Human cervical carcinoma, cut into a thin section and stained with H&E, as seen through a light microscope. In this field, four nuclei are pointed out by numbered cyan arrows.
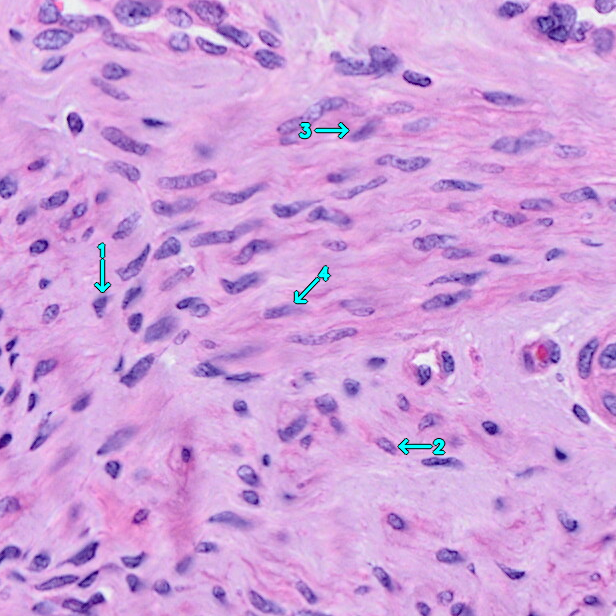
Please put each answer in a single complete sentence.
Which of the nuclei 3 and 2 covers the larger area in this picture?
The larger nucleus is 3, at roughly 2.5 times the area of 2.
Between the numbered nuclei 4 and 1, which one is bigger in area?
It is nucleus 4, which covers about 2 times the area of nucleus 1.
